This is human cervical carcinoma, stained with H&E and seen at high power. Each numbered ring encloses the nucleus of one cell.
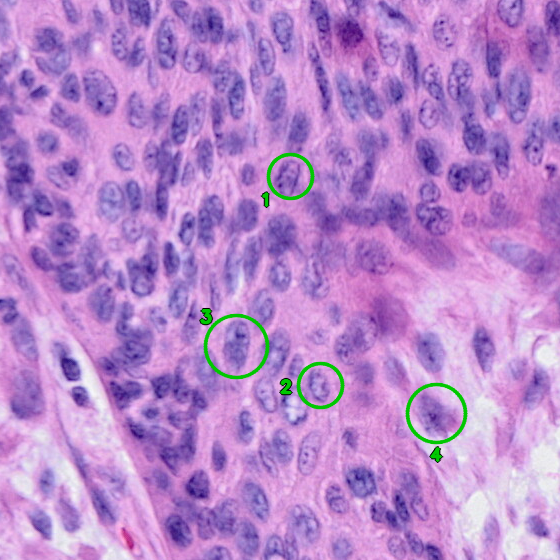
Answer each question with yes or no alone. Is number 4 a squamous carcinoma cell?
no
